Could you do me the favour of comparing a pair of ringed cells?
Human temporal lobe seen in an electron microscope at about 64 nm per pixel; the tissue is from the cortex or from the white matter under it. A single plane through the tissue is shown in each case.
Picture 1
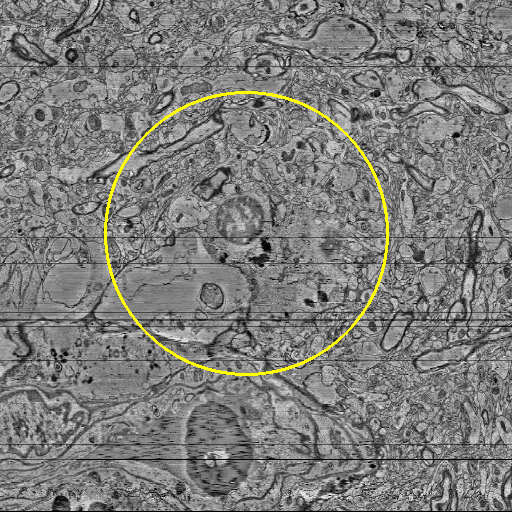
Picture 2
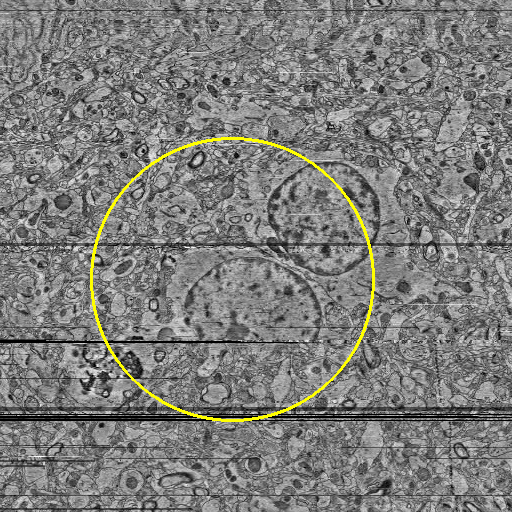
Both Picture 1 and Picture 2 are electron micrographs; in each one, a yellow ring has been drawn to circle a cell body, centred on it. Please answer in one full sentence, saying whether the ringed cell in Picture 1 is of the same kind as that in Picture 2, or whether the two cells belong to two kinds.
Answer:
The ringed cells in Picture 1 and Picture 2 belong to two kinds.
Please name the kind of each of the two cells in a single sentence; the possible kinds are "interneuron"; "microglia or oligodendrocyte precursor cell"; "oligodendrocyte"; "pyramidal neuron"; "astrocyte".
In the first picture the ring is centred on an oligodendrocyte, and in the second on an astrocyte.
